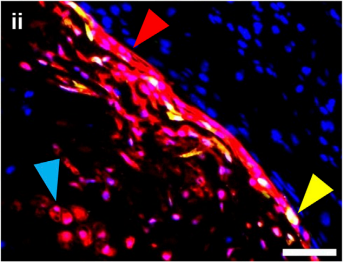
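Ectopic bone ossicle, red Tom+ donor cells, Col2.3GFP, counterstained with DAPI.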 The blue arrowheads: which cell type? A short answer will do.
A: Chondrocytes.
